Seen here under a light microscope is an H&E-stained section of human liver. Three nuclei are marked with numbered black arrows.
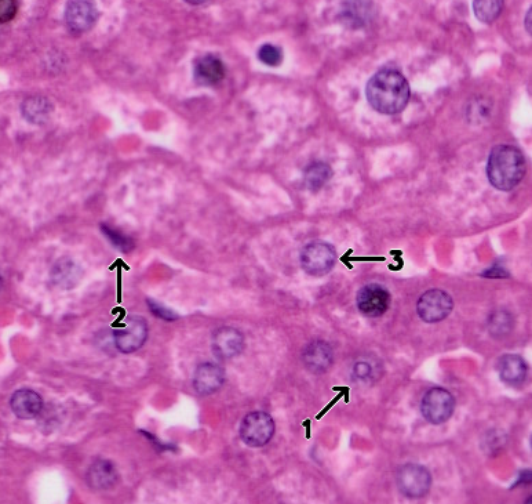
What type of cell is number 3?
hepatocyte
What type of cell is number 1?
hepatocyte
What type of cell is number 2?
endothelial cell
